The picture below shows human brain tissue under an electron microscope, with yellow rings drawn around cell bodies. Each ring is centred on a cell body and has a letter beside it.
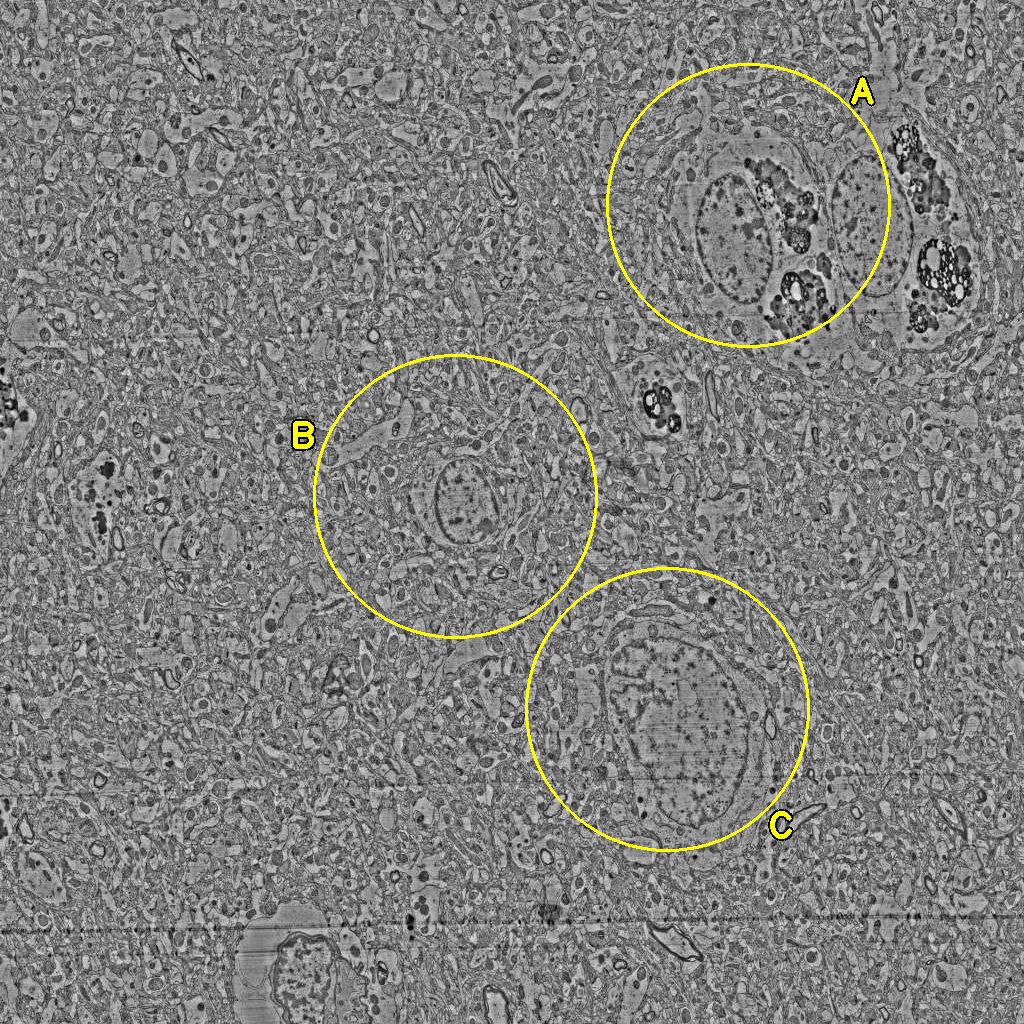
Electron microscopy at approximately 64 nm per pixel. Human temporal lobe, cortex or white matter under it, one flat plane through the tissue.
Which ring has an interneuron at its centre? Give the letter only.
C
